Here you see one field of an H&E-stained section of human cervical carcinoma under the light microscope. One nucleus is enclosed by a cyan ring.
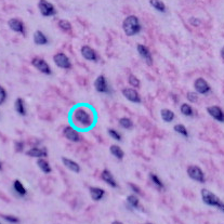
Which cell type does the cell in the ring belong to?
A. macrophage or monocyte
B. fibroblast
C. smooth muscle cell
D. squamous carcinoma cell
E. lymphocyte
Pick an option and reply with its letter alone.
C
